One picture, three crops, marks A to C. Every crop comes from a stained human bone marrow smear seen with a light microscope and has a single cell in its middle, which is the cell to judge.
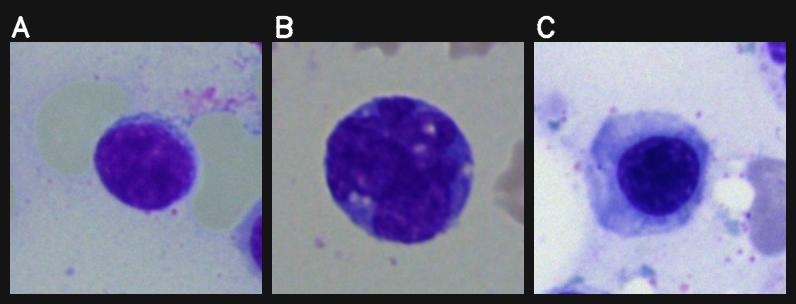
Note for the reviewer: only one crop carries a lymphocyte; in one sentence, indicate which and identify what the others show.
Identified in crop A is a lymphocyte, whereas crop B is a blast and crop C is an erythroblast.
